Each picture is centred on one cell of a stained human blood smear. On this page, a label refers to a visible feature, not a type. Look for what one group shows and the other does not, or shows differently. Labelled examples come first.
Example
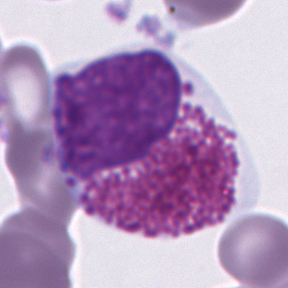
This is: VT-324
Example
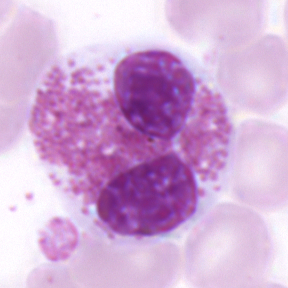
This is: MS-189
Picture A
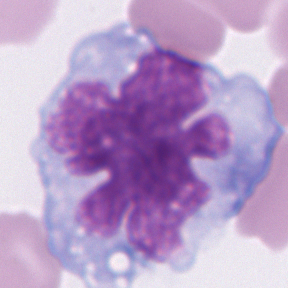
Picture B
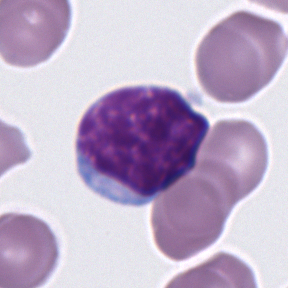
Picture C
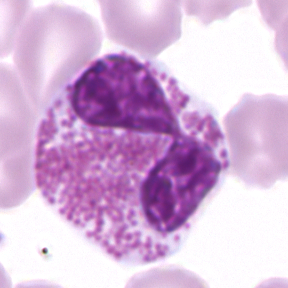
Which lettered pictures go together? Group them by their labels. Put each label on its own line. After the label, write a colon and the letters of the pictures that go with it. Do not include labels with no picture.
VT-324: B
MS-189: A, C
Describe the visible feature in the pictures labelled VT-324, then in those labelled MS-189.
In VT-324: single compact nucleus. In MS-189: lobed nucleus.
